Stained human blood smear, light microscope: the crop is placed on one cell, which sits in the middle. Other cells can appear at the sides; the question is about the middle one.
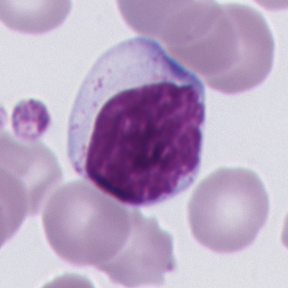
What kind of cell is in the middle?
large granular lymphocyte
